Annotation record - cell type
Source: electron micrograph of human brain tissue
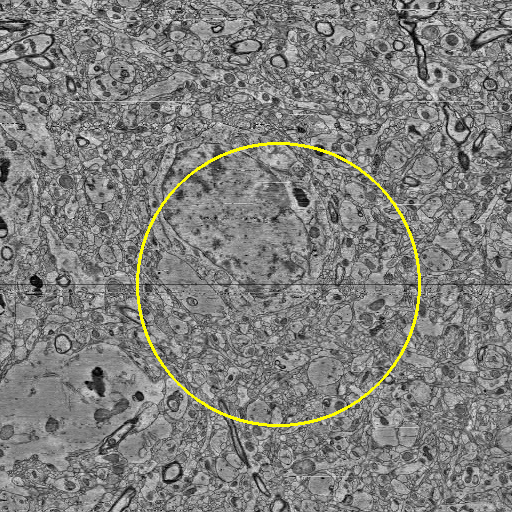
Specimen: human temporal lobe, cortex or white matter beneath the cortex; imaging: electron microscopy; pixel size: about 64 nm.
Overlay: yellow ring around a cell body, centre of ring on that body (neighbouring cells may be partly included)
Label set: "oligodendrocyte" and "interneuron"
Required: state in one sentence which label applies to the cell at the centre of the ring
This cell should be labelled as an interneuron.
